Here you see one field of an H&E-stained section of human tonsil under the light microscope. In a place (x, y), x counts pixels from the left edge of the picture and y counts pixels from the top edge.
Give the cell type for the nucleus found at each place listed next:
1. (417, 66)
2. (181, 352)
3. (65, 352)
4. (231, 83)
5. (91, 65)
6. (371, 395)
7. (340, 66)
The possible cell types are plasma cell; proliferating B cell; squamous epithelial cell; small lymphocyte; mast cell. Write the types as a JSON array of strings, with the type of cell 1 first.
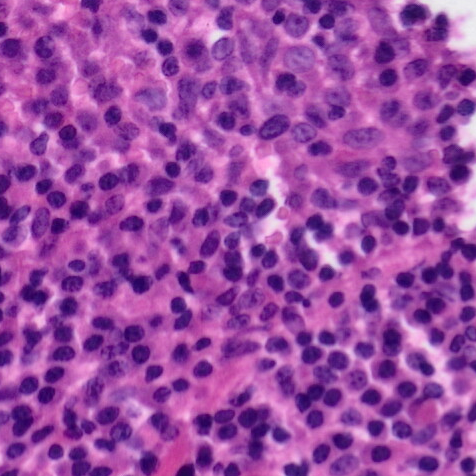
["squamous epithelial cell", "plasma cell", "plasma cell", "squamous epithelial cell", "squamous epithelial cell", "plasma cell", "squamous epithelial cell"]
